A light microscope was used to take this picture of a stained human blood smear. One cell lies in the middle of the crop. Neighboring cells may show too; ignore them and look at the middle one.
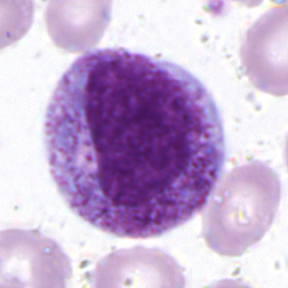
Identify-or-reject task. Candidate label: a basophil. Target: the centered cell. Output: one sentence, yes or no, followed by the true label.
No, it is a promyelocyte and not a basophil that occupies the middle of the crop.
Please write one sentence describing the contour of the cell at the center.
No projections interrupt the outline; it is smooth all the way round.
